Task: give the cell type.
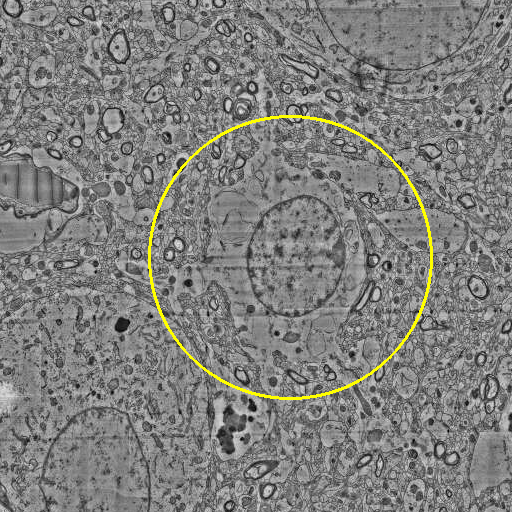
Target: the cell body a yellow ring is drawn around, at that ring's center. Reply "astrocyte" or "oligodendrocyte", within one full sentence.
In this picture, the cell whose body lies at the ring's center is an astrocyte.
